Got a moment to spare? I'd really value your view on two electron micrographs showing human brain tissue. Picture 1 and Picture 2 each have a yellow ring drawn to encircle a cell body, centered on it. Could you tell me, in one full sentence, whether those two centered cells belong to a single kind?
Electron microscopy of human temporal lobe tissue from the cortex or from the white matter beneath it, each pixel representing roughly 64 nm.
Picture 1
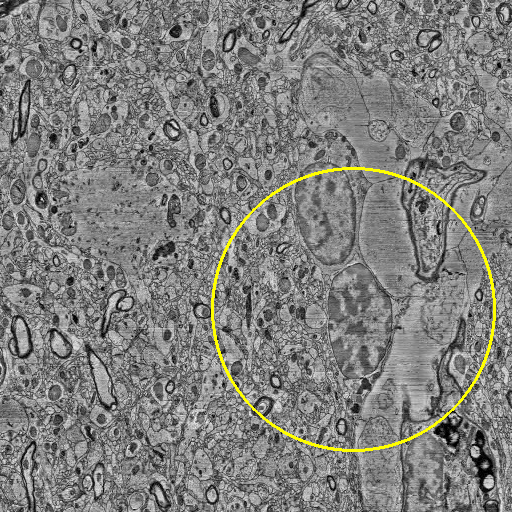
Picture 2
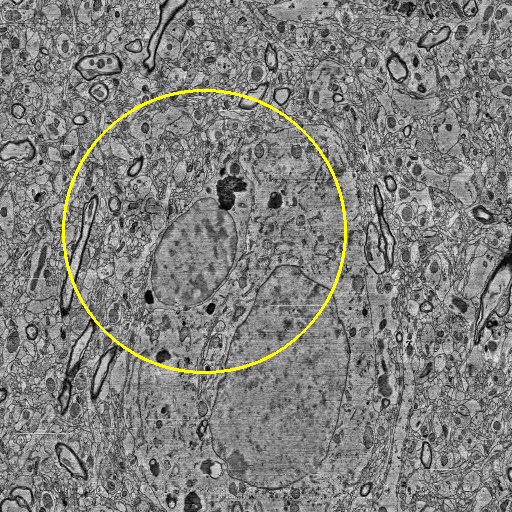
No, the two centered cells in Picture 1 and Picture 2 are of two kinds.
